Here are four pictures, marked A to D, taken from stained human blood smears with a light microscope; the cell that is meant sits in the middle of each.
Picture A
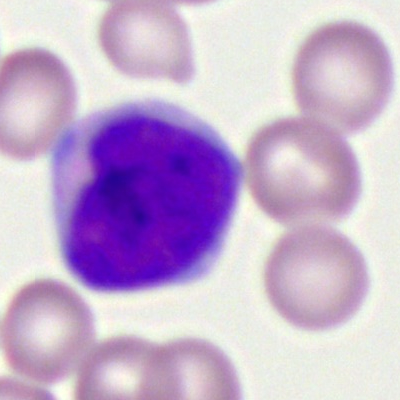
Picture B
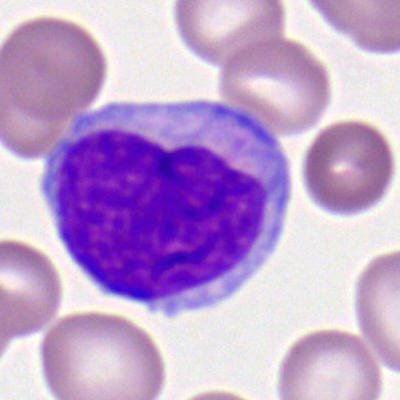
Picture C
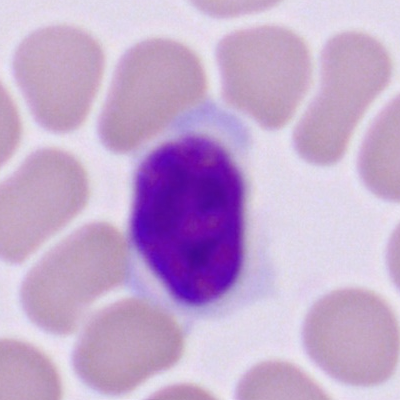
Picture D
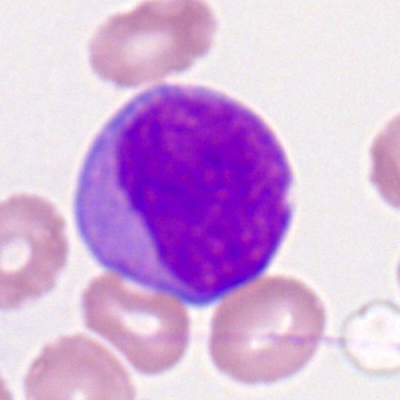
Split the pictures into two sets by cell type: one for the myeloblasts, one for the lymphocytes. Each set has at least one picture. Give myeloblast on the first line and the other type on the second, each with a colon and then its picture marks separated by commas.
myeloblast: A, B, D
lymphocyte: C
